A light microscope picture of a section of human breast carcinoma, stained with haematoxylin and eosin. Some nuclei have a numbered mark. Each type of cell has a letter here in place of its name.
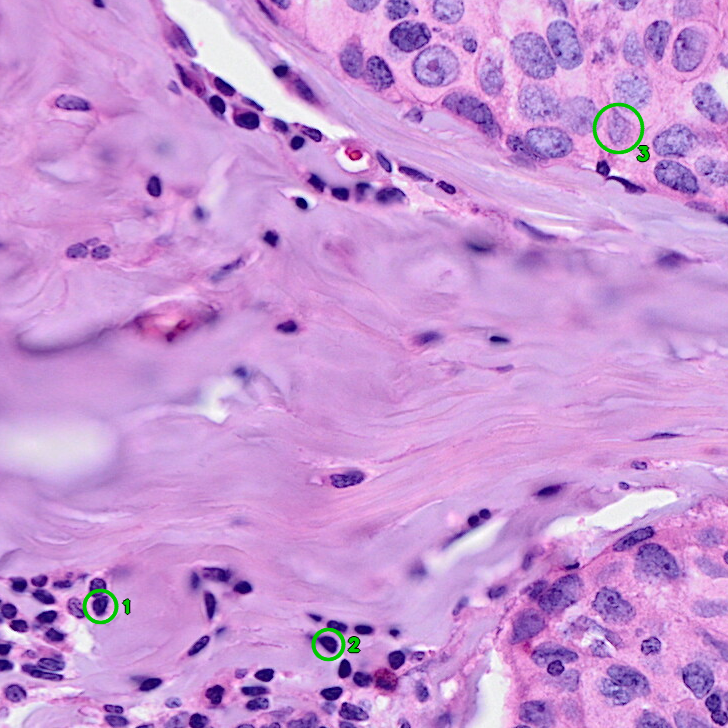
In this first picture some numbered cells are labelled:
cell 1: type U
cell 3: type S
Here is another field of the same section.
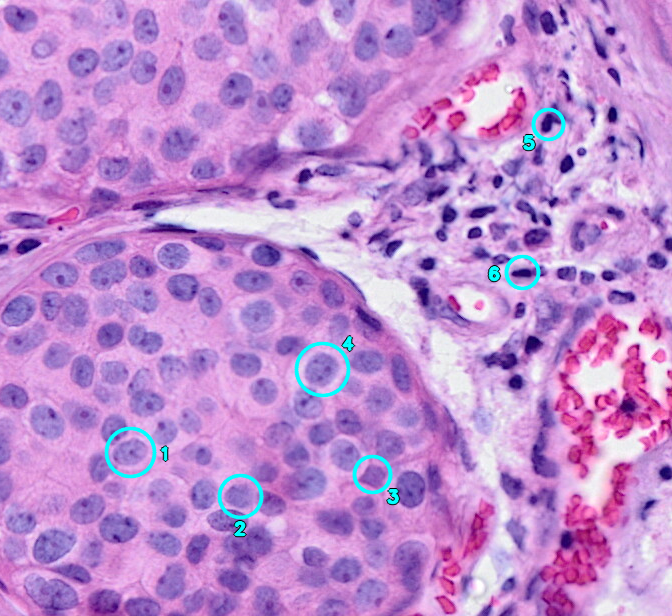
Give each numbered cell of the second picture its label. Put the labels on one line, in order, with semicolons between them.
type S; type S; type S; type S; type U; type U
